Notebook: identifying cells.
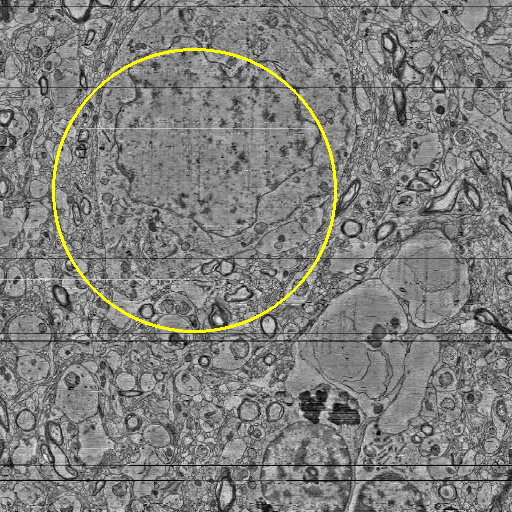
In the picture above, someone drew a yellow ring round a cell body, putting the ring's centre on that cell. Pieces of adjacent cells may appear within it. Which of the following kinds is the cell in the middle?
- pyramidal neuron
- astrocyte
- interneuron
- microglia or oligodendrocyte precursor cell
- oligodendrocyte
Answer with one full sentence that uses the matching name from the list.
In this picture, the yellow ring is centred on the body of an interneuron.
